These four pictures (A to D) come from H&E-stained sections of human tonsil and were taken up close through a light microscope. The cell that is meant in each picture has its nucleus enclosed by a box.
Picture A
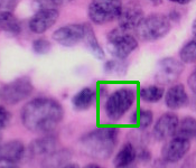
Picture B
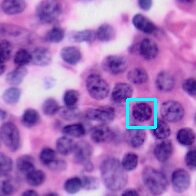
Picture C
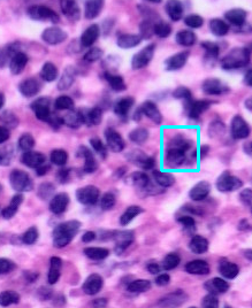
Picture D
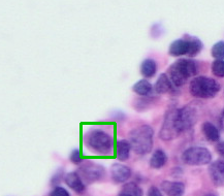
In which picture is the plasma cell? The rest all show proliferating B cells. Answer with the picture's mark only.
B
